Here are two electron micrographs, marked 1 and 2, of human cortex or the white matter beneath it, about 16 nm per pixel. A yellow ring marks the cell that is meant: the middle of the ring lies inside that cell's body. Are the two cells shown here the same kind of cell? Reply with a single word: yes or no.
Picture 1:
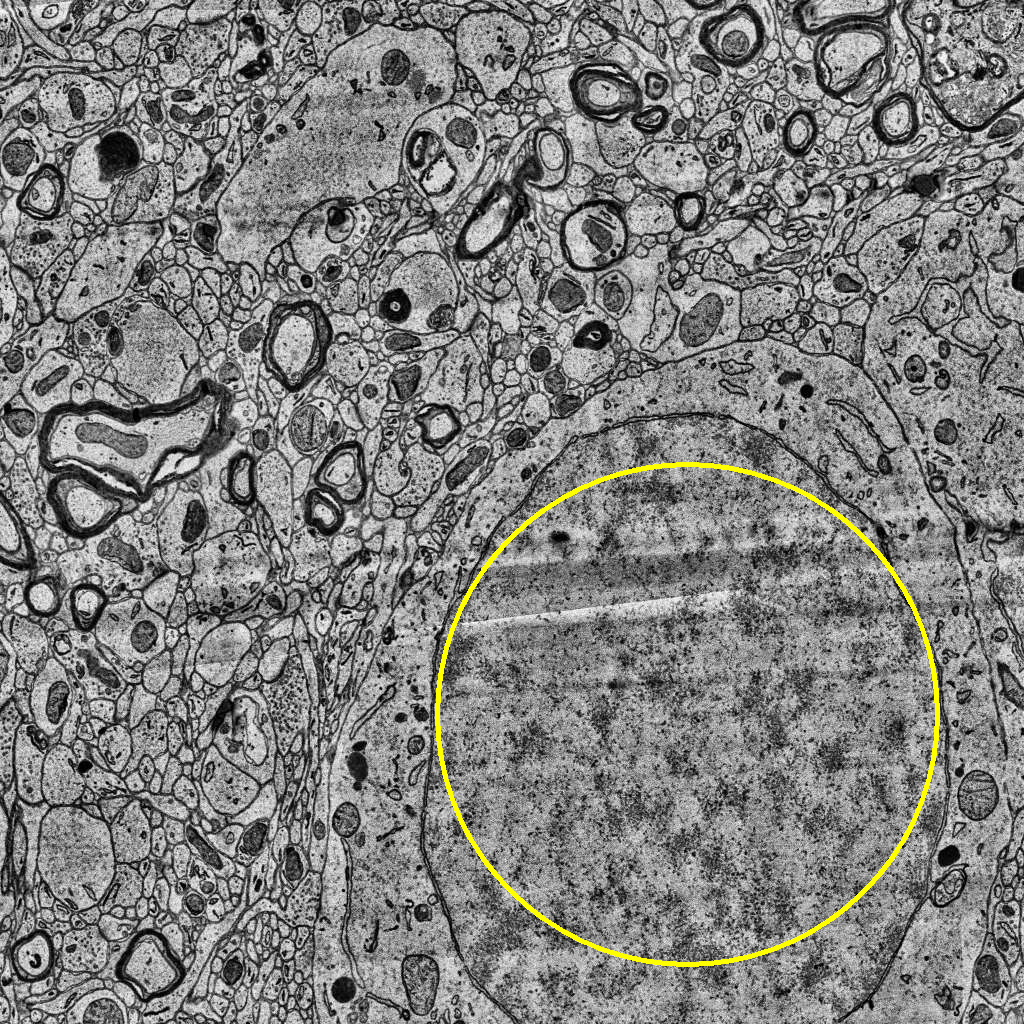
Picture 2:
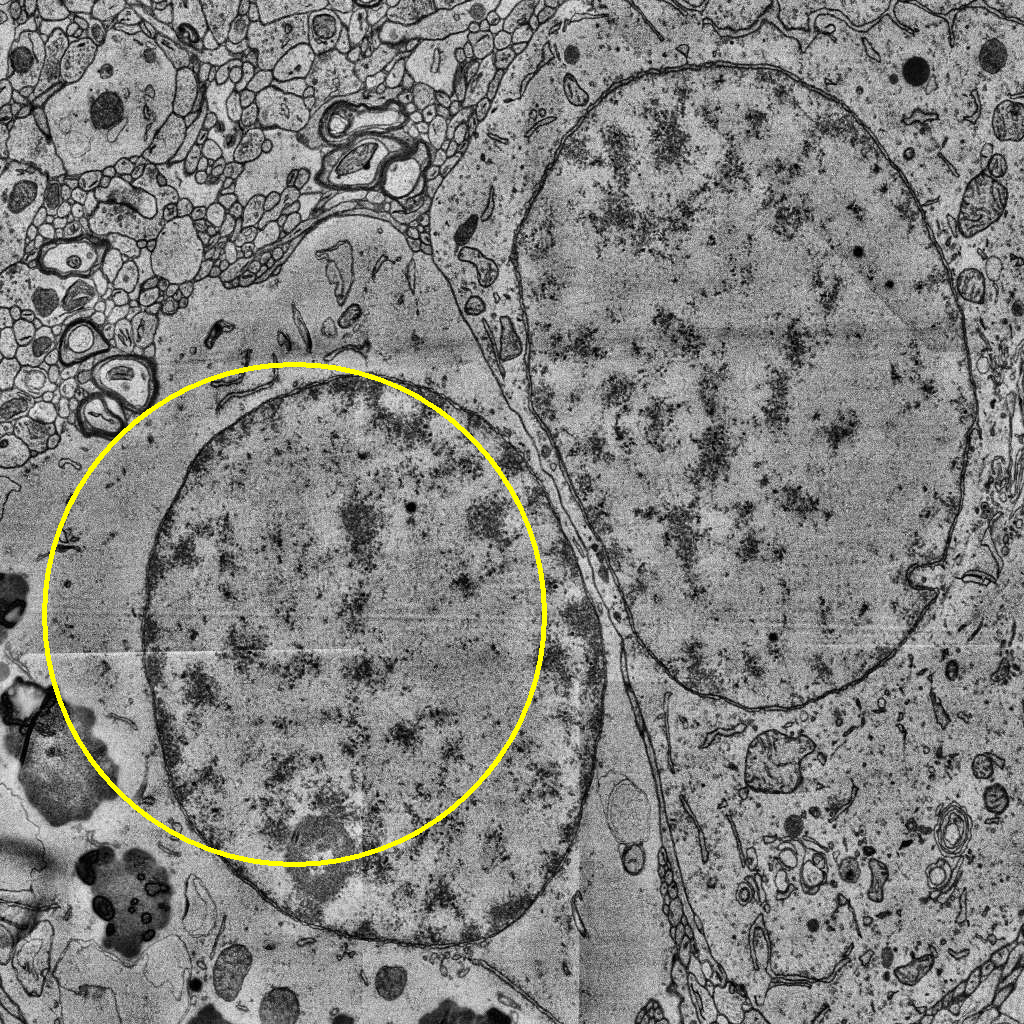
no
